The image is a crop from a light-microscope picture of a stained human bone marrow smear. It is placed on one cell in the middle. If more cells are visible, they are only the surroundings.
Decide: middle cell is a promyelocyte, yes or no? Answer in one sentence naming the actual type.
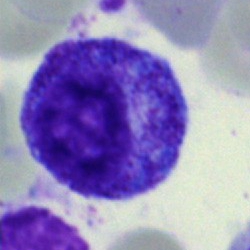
Yes, the centrally placed cell is a promyelocyte.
